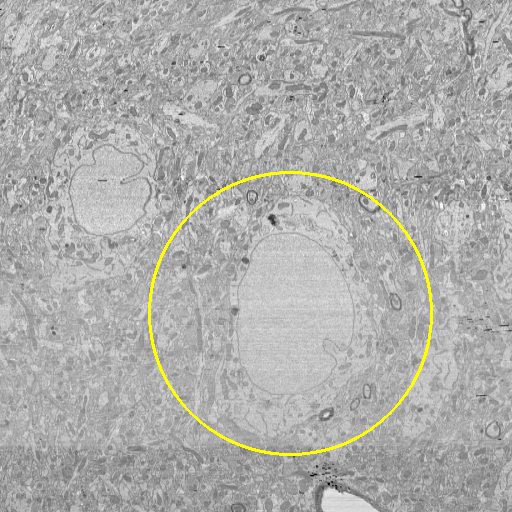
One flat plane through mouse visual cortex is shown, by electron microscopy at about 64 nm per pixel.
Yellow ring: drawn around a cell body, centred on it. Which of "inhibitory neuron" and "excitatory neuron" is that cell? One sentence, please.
That cell body is from an excitatory neuron.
